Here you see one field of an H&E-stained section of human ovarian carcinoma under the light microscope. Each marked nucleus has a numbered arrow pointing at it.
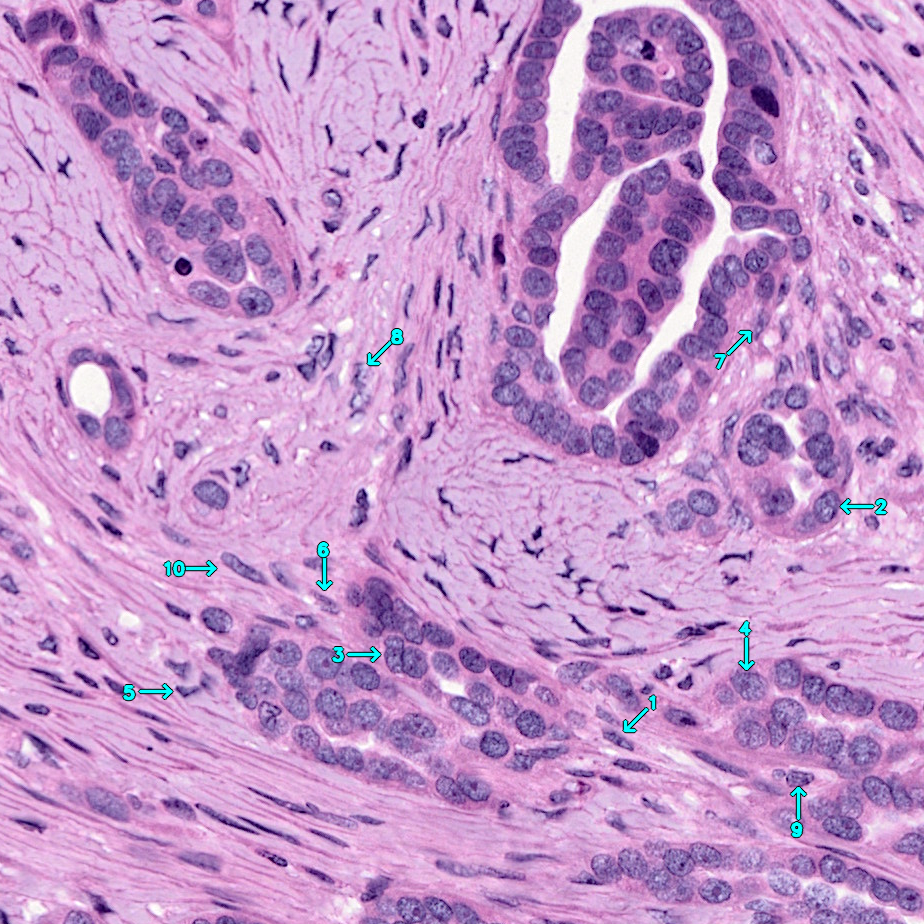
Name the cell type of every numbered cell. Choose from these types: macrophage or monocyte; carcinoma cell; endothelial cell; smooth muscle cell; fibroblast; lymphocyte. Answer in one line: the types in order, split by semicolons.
fibroblast; carcinoma cell; carcinoma cell; carcinoma cell; fibroblast; fibroblast; fibroblast; fibroblast; macrophage or monocyte; fibroblast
